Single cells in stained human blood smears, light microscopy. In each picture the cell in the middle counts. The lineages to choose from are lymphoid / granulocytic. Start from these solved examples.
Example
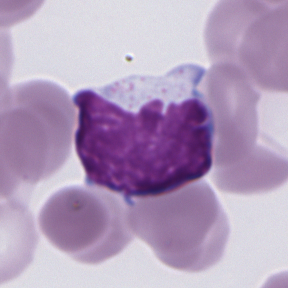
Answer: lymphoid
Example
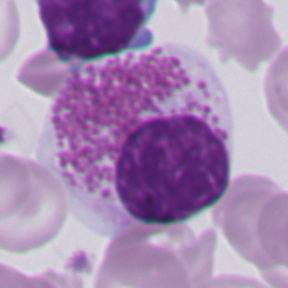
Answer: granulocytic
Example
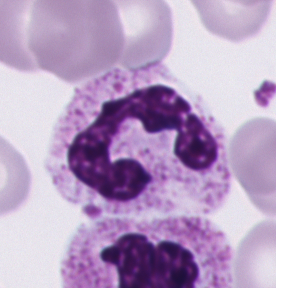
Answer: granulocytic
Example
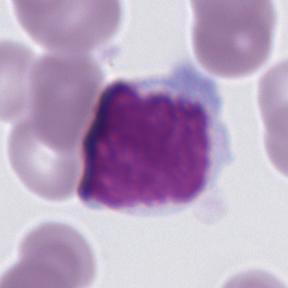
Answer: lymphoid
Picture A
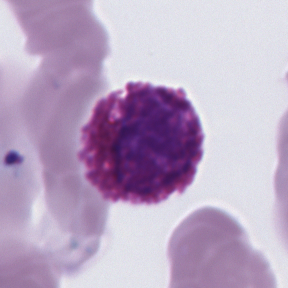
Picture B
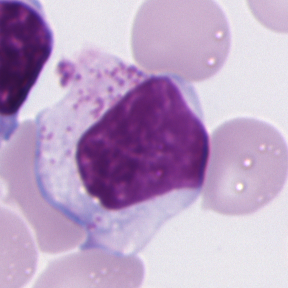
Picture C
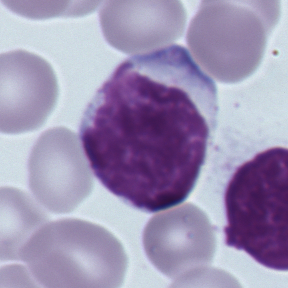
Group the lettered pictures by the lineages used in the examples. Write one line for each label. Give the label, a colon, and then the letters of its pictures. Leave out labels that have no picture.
lymphoid: B, C
granulocytic: A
